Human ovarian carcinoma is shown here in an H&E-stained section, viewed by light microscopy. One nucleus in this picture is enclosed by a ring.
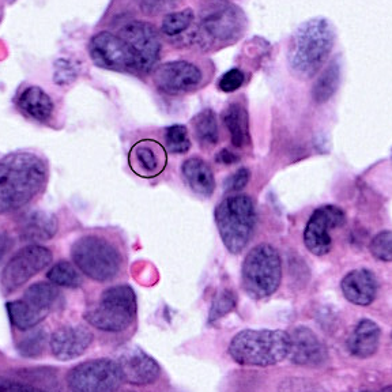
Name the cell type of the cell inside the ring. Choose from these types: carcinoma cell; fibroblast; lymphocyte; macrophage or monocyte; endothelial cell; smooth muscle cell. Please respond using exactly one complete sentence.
Assigned to a cell type, the cell inside the ring is a macrophage or monocyte.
